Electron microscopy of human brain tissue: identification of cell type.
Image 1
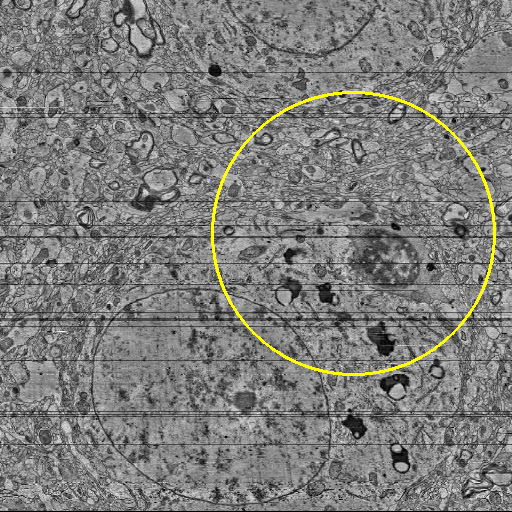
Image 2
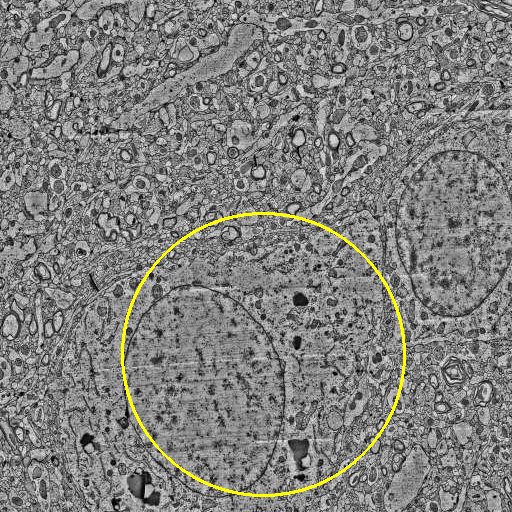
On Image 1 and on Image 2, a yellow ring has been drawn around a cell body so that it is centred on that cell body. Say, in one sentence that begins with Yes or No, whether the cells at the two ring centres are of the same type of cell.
No, the two cells are two separate types of cell.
